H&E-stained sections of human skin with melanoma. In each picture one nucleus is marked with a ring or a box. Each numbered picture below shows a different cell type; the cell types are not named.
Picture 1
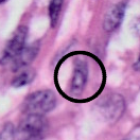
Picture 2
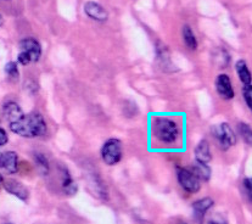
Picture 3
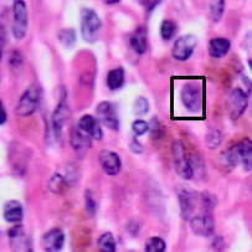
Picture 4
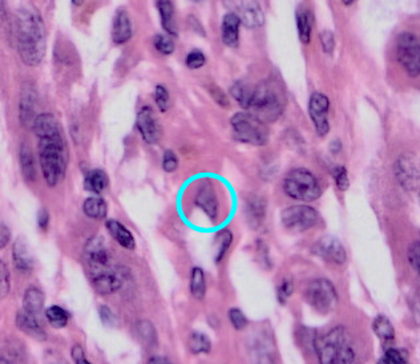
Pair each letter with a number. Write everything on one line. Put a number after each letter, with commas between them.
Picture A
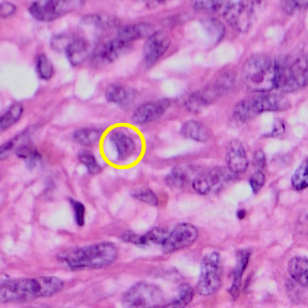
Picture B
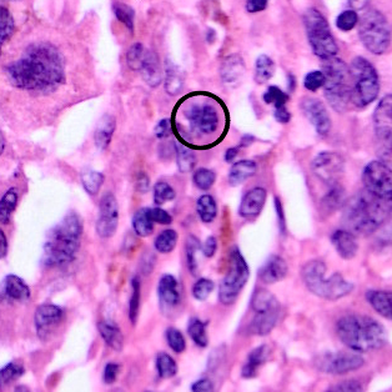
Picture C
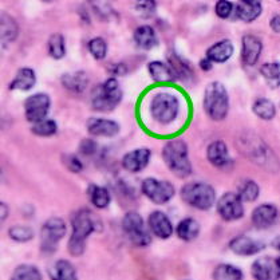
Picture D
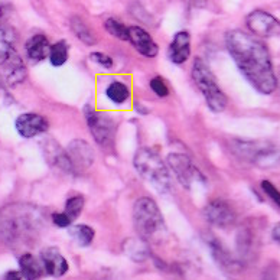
A 1, B 2, C 3, D 3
